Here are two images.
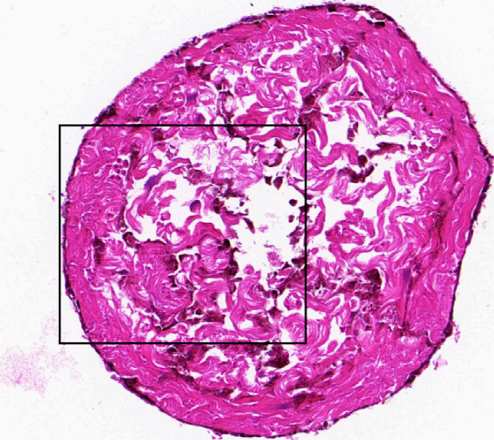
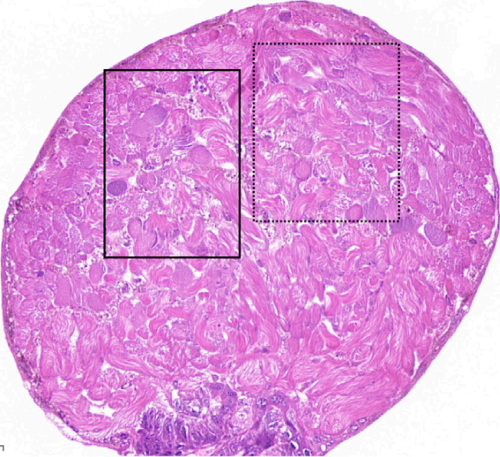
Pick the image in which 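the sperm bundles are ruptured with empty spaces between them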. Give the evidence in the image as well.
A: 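First image: fragmented pink bundles around a large empty centre. Second image: the section is densely filled with cysts and continuous wavy bundles, with few gaps.
The first image.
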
